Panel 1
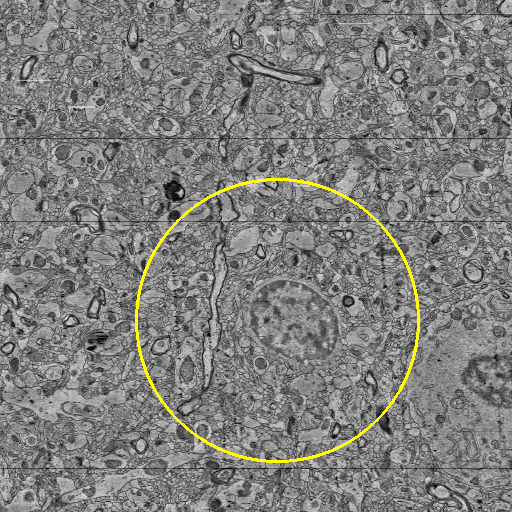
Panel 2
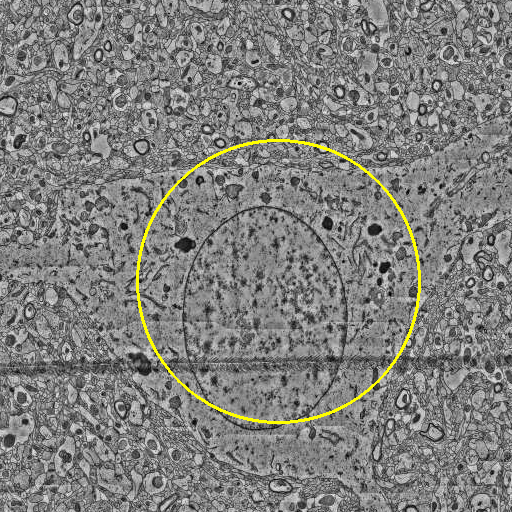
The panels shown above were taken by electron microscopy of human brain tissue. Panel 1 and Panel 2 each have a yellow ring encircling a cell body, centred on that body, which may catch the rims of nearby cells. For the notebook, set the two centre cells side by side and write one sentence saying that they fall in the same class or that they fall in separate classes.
The centred cells of Panel 1 and Panel 2 fall in separate classes.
